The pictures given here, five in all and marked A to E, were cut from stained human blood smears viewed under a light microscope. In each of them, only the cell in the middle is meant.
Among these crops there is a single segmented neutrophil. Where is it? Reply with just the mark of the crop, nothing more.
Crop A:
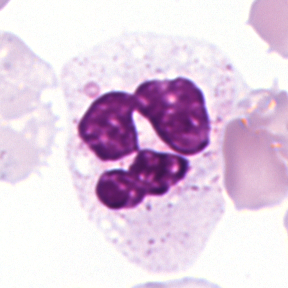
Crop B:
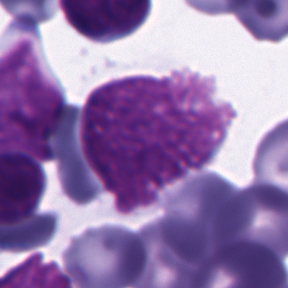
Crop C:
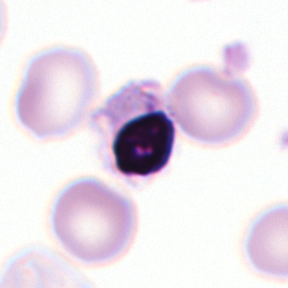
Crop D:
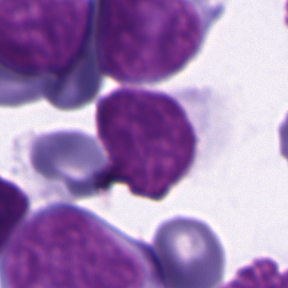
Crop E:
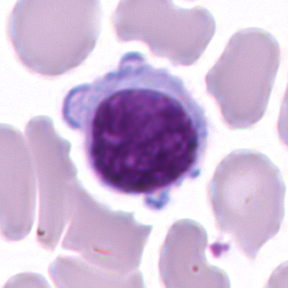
A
